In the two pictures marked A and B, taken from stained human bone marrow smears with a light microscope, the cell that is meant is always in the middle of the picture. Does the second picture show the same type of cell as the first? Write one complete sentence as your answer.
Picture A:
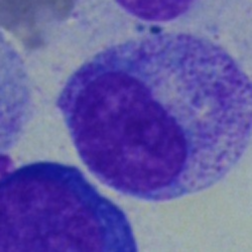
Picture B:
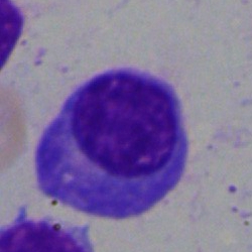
No; the cell in picture A is a myelocyte, while the one in picture B is a plasma cell.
